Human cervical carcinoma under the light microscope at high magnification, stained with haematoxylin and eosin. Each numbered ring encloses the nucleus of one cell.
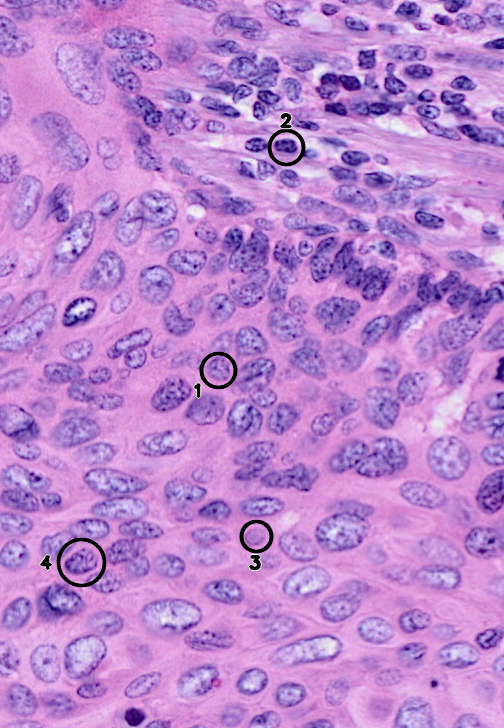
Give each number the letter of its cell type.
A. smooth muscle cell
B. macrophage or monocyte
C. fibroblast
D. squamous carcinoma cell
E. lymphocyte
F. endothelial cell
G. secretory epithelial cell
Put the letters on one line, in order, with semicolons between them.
D; E; D; D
